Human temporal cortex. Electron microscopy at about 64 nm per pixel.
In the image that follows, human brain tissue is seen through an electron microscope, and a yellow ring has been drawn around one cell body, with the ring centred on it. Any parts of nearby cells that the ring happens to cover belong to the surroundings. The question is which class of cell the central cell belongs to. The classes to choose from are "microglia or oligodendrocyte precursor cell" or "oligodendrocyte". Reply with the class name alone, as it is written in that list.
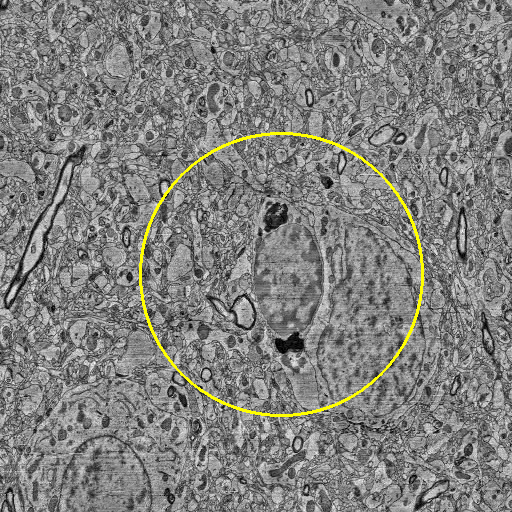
oligodendrocyte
